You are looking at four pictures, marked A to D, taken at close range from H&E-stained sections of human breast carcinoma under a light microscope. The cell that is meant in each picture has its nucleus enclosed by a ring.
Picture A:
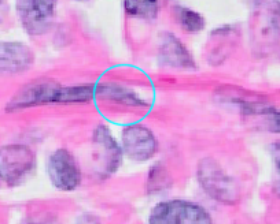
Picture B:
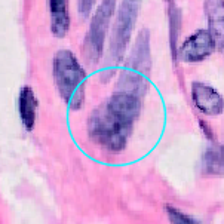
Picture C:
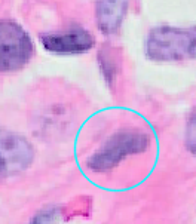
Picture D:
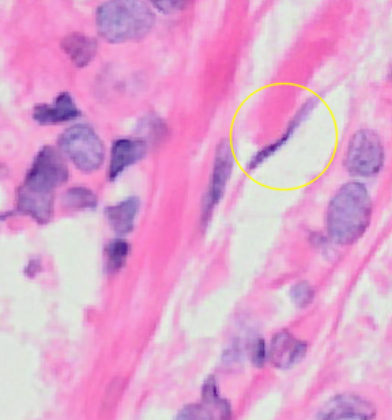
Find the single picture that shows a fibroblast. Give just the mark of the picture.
D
